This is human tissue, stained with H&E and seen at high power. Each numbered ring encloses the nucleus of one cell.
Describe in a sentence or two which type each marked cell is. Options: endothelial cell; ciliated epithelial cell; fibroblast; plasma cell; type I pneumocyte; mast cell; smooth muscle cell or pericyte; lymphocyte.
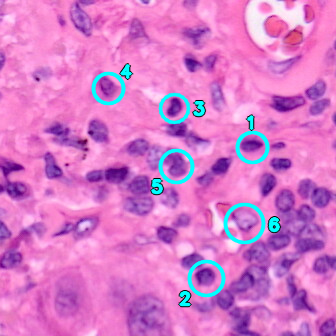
Cells 1, 2 and 5 are lymphocytes. Cell 3 is a mast cell. Cell 4 is a plasma cell. Cell 6 is an endothelial cell.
